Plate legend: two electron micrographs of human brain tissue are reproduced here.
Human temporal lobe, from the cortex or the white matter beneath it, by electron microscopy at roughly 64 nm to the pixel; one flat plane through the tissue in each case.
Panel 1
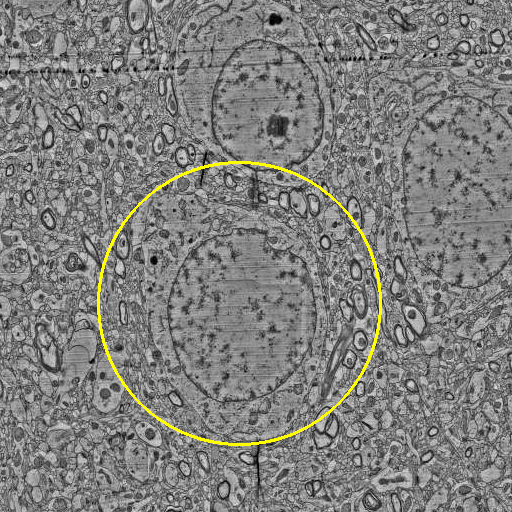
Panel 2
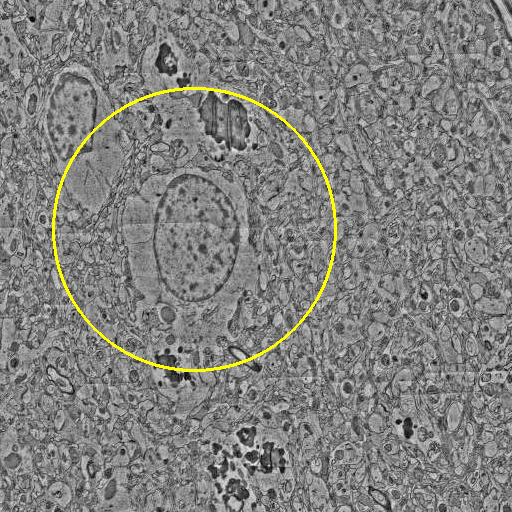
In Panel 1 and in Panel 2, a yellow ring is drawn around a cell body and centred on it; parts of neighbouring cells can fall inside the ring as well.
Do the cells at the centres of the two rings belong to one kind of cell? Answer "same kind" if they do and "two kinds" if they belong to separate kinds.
two kinds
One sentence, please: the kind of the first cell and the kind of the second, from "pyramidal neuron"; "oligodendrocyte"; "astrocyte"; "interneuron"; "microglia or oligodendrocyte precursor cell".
The ring in the first picture surrounds a pyramidal neuron, and the ring in the second surrounds an astrocyte.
